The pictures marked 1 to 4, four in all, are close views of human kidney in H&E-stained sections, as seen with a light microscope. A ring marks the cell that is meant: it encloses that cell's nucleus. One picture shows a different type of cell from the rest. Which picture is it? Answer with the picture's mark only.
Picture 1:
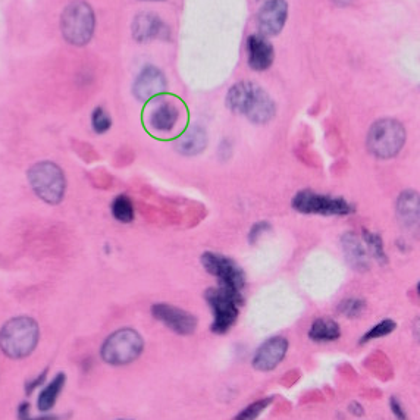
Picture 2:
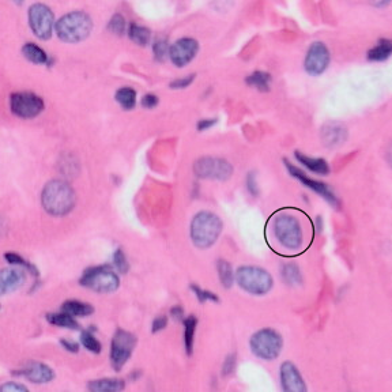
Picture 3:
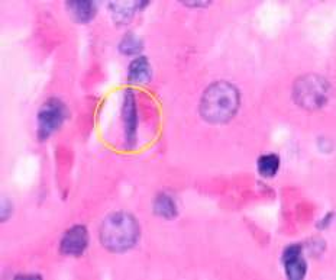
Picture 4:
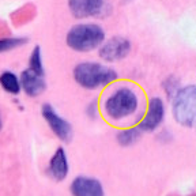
3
